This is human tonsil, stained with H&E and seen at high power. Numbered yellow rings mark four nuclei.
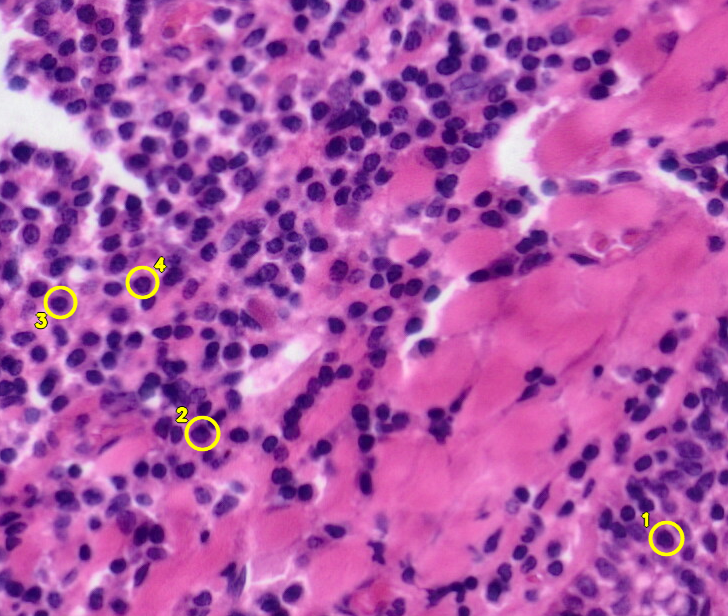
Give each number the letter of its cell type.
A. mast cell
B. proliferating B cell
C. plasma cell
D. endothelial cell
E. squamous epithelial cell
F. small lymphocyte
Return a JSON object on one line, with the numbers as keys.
{"1": "E", "2": "C", "3": "C", "4": "C"}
